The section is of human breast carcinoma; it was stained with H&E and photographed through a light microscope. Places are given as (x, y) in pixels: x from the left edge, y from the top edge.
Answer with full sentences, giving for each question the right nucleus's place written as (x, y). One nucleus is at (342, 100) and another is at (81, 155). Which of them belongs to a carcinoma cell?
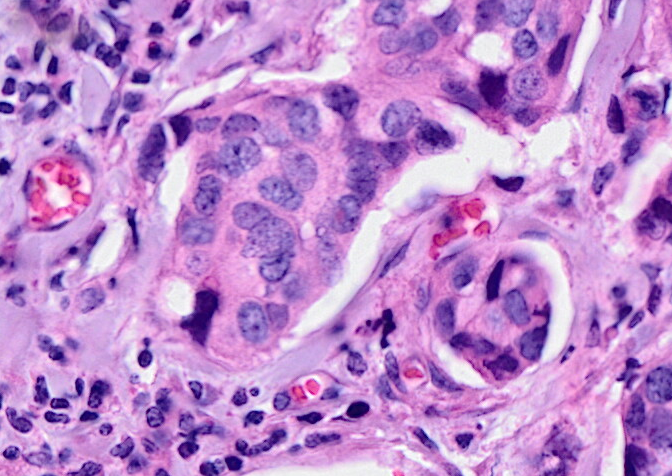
Of these two nuclei, only the one at (342, 100) belongs to a carcinoma cell.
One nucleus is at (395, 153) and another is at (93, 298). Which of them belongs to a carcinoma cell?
It is the nucleus at (395, 153) that belongs to a carcinoma cell.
